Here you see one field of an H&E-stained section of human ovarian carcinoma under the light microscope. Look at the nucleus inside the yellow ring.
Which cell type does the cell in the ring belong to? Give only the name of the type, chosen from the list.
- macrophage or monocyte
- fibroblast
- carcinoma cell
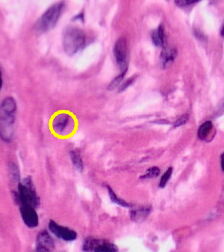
fibroblast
